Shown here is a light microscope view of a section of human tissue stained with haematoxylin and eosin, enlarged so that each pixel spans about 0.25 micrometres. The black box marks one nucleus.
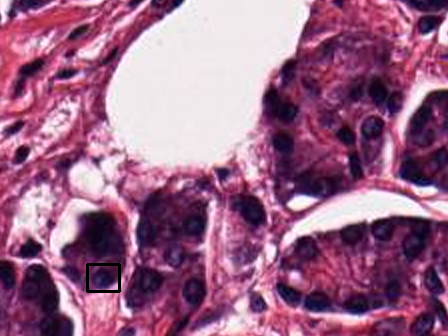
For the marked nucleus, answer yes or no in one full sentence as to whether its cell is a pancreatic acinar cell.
Yes, the marked nucleus is found within a pancreatic acinar cell.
